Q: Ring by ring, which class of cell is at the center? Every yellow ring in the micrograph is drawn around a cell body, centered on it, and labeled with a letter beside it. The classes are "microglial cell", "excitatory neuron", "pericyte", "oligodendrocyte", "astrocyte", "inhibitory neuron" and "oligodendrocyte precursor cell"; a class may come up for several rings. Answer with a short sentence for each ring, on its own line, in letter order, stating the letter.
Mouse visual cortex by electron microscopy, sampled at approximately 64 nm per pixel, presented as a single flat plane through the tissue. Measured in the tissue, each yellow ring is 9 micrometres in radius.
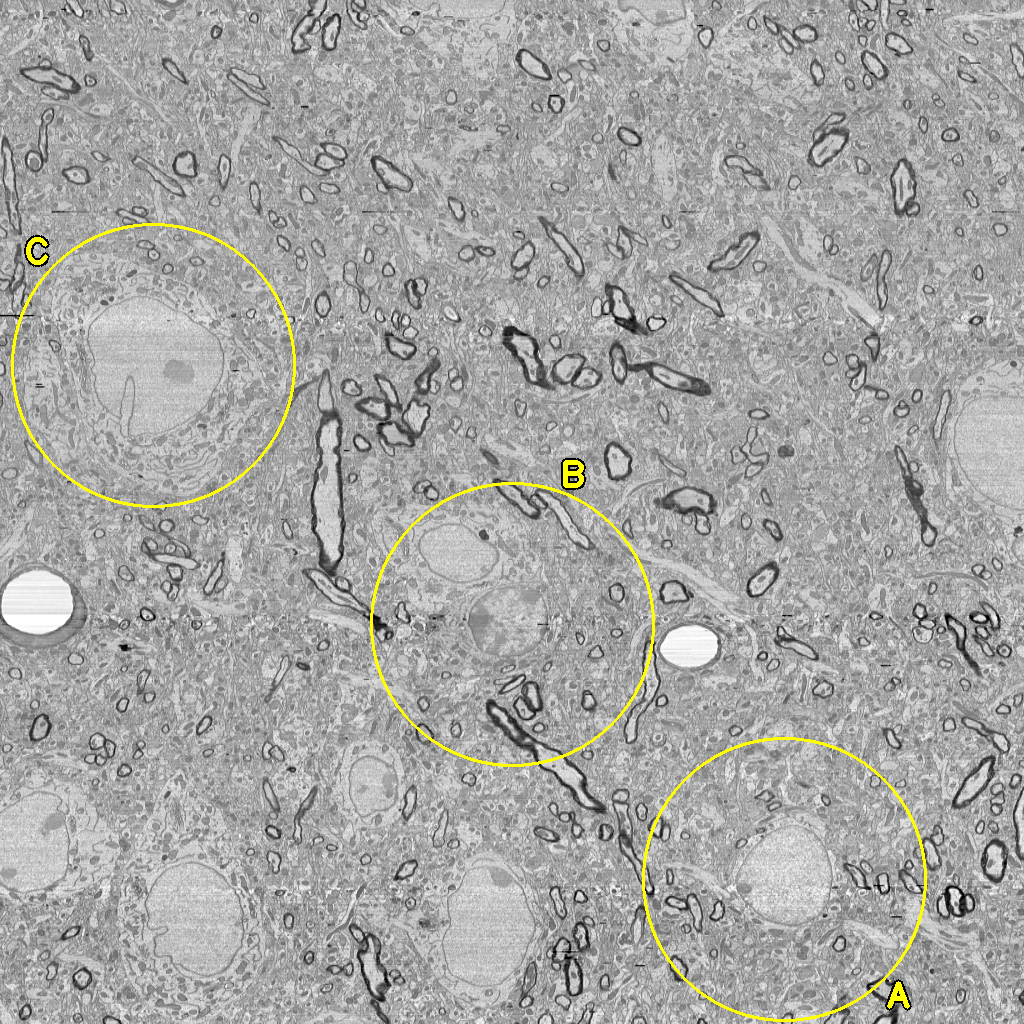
Ring A holds an astrocyte at its center.
Ring B holds an oligodendrocyte at its center.
Ring C holds an inhibitory neuron at its center.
